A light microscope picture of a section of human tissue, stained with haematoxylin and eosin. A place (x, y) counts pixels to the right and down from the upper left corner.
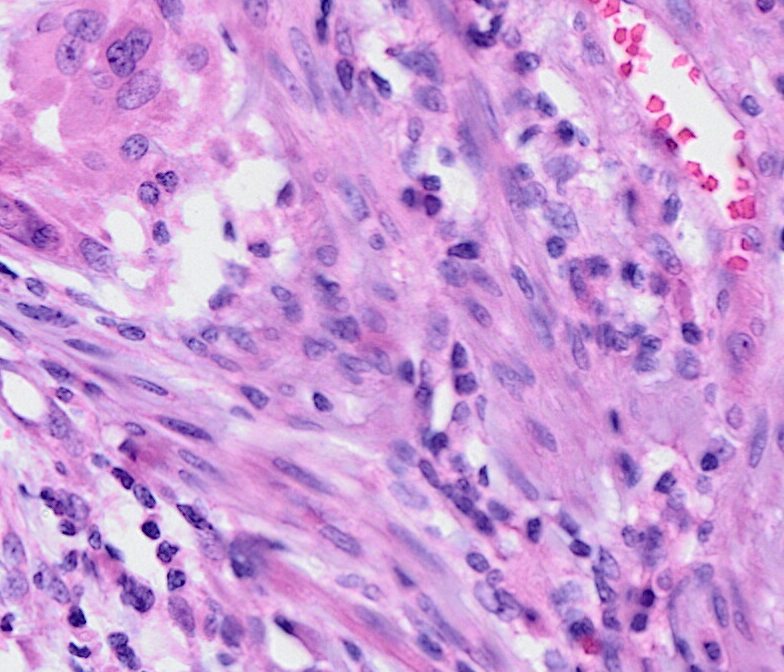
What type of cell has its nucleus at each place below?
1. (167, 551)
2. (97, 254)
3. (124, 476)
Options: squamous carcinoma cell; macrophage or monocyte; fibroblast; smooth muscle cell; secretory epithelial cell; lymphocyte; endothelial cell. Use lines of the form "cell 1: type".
cell 1: lymphocyte
cell 2: fibroblast
cell 3: lymphocyte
